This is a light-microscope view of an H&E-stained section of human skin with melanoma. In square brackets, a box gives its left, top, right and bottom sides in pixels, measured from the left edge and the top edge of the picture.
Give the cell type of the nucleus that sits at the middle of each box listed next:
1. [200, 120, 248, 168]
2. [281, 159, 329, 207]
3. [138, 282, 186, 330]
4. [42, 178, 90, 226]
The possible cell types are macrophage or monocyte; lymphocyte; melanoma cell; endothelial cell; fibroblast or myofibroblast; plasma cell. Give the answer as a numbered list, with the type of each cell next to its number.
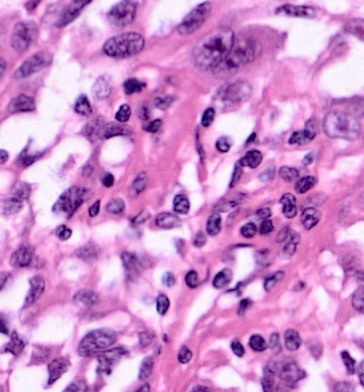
1. lymphocyte
2. lymphocyte
3. lymphocyte
4. melanoma cell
